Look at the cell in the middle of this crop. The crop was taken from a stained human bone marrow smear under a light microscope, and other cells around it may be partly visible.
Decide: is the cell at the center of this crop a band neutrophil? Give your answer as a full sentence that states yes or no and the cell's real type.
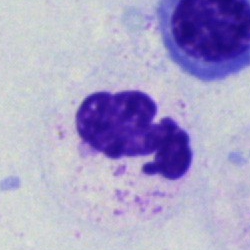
No, not a band neutrophil: the cell in the middle of this crop is a segmented neutrophil.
